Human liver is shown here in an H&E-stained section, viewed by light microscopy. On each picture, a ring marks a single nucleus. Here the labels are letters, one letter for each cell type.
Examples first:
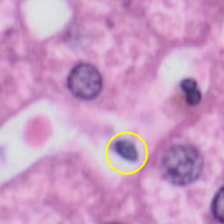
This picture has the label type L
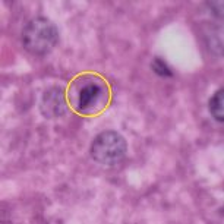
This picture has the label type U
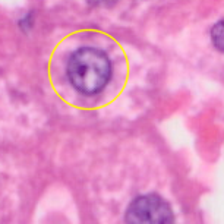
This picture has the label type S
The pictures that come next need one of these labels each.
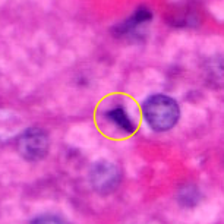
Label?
type U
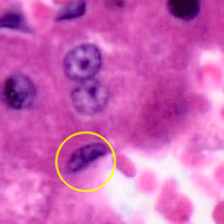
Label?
type U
